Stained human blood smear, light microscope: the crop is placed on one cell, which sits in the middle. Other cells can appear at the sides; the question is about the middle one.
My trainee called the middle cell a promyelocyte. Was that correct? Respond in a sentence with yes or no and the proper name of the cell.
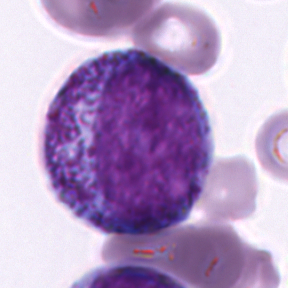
Yes, as for the central cell, it is a promyelocyte.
